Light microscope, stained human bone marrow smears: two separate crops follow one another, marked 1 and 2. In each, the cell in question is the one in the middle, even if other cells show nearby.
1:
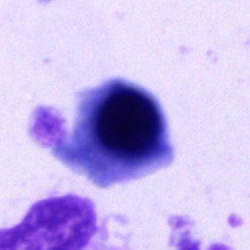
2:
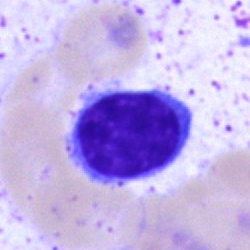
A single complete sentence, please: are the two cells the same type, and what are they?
No, an erythroblast lies at the centre of crop 1, and a lymphocyte lies at the centre of crop 2.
